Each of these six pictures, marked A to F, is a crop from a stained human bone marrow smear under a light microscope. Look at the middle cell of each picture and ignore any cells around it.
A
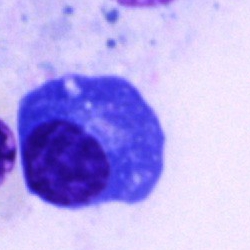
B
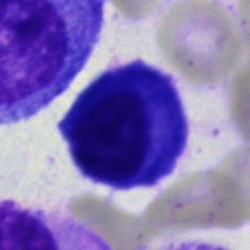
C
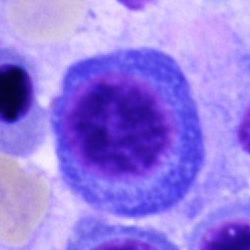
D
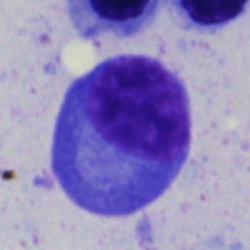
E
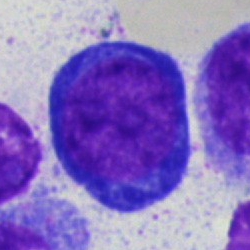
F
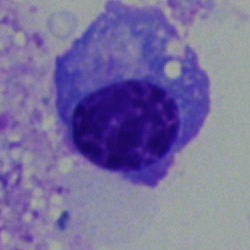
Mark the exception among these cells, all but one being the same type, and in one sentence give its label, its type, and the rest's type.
The single exception is crop E, which is a proerythroblast; all other crops show plasma cells.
